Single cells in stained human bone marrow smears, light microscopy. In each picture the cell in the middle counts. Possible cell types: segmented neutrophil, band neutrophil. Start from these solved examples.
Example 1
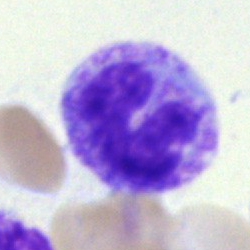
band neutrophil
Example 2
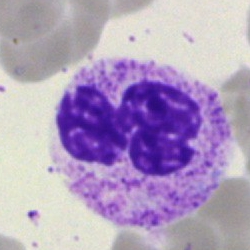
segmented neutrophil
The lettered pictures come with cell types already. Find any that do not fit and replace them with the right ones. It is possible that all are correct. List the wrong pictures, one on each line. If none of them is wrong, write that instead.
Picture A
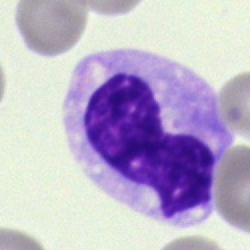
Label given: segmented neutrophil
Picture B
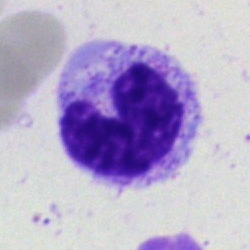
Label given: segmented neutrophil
A: change segmented neutrophil to band neutrophil
B: change segmented neutrophil to band neutrophil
